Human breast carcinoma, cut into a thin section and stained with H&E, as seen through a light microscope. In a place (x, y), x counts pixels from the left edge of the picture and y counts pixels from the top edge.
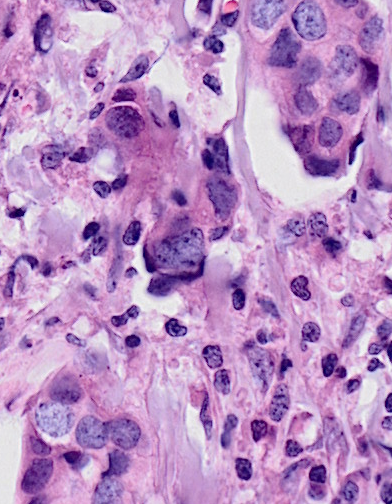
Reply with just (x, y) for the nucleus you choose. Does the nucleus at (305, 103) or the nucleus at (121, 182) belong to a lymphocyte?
(121, 182)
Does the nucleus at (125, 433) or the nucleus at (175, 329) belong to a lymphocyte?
(175, 329)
